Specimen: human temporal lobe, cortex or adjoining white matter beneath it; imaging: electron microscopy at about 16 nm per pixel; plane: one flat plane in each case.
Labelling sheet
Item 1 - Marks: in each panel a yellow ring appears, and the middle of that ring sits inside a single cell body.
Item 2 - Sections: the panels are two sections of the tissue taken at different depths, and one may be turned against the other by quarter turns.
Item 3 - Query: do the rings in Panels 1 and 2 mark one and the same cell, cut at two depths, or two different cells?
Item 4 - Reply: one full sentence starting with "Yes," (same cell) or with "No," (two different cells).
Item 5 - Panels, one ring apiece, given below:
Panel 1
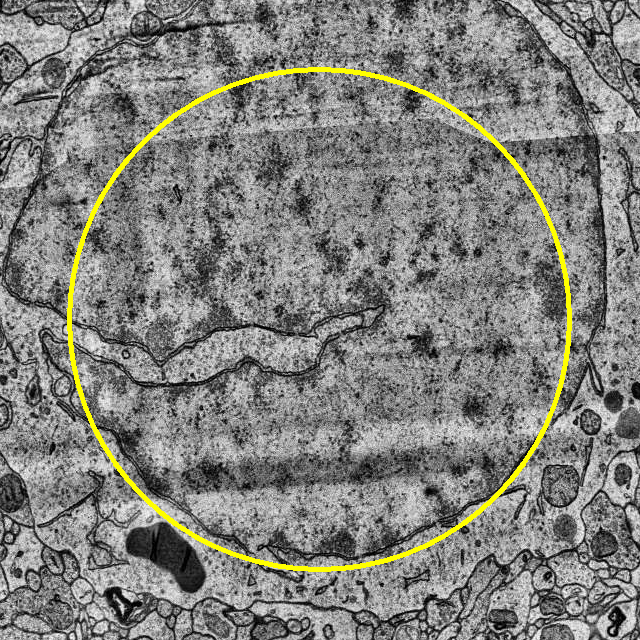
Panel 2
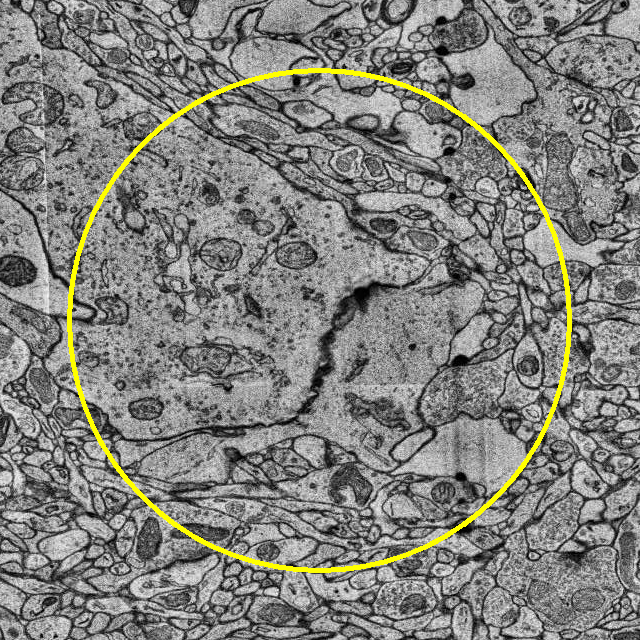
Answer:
No, the two yellow rings surround two different cells.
